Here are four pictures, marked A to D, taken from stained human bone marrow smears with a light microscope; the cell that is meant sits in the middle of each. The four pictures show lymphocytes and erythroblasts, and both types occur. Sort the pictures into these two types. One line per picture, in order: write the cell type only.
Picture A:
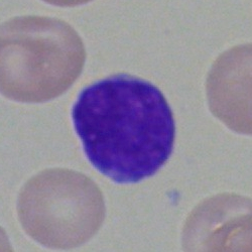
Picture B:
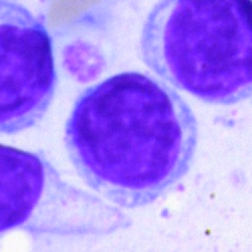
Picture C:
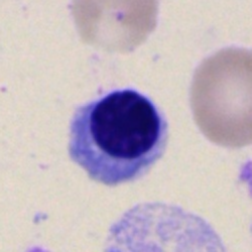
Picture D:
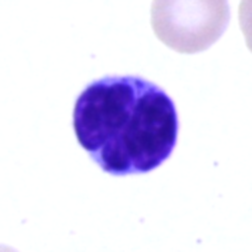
lymphocyte
lymphocyte
erythroblast
lymphocyte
